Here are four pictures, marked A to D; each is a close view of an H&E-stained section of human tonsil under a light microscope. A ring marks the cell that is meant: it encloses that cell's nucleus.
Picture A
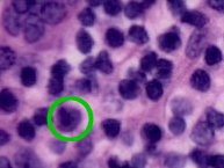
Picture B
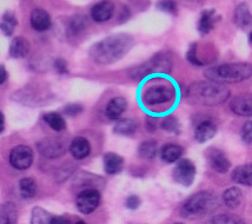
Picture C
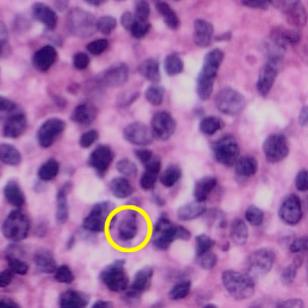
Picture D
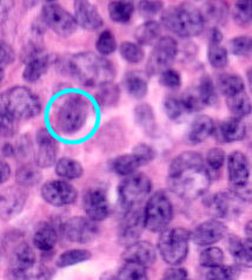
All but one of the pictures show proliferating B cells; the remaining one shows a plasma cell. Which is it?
B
